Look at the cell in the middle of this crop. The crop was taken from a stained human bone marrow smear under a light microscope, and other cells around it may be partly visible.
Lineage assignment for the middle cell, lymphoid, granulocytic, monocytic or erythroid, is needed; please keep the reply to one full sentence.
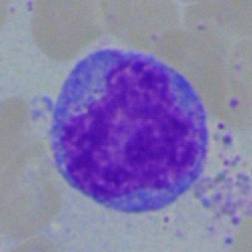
By lineage, the cell in the middle of the crop is monocytic.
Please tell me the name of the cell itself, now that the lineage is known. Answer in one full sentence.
The centrally placed cell is classified as a monocyte.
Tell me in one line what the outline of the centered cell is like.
If you check the edge, you will find it smooth without projections.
